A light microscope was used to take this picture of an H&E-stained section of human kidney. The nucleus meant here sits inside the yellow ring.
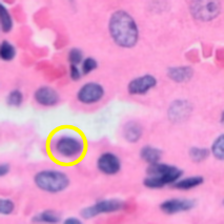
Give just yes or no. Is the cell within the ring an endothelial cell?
no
